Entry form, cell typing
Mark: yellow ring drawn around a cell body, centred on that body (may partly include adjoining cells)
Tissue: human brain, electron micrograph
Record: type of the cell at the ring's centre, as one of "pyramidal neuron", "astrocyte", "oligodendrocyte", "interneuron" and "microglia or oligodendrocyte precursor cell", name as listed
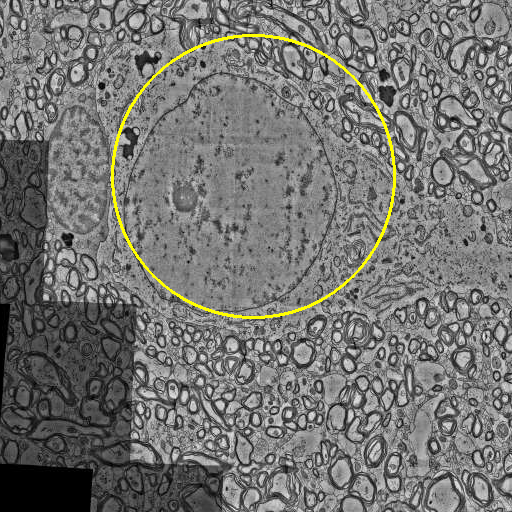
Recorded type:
pyramidal neuron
